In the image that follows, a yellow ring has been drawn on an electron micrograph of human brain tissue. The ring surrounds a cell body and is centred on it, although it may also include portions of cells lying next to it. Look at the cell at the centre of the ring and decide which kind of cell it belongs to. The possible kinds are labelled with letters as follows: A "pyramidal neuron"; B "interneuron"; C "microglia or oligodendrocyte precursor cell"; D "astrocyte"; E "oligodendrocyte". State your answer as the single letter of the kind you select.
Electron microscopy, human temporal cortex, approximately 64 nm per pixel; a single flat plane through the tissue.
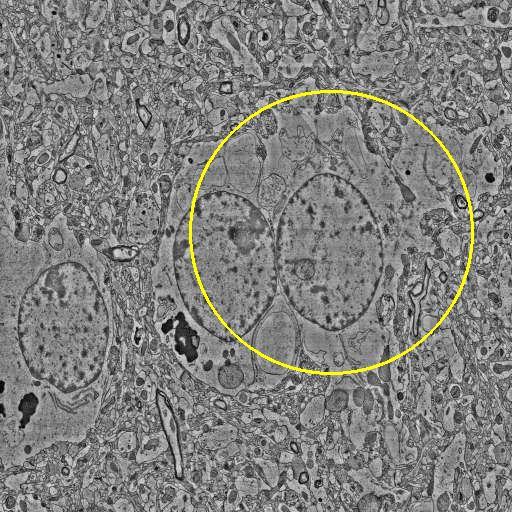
D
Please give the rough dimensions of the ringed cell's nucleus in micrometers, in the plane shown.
In this plane, roughly 10 by 7 micrometres.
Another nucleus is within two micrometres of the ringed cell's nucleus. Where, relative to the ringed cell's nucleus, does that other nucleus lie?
The other nucleus appears to the left of it.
